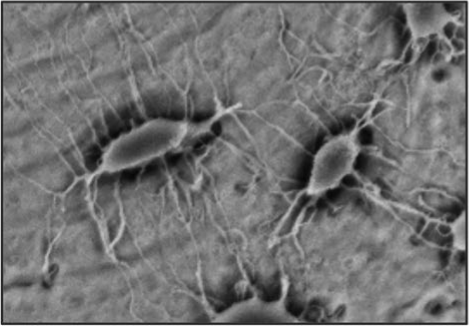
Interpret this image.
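The cell bodies are ovoid to spindle-shaped and oriented roughly in one direction, each giving off numerous thin, branching processes in all directions. Processes from neighbouring cells reach toward each other, forming a dense interconnecting network across the matrix.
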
